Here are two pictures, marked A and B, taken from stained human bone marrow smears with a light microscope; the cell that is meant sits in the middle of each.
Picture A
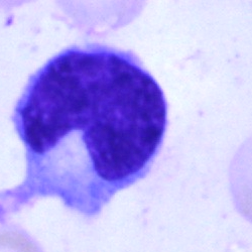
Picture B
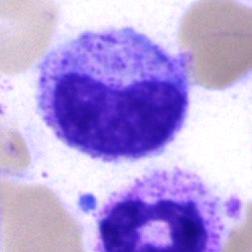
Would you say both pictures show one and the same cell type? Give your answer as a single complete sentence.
Yes, they are the same type: both are metamyelocytes.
